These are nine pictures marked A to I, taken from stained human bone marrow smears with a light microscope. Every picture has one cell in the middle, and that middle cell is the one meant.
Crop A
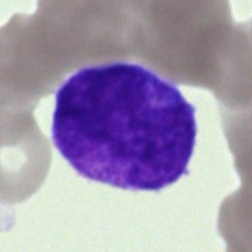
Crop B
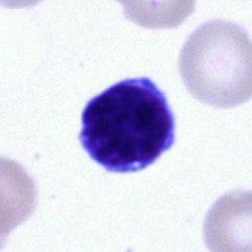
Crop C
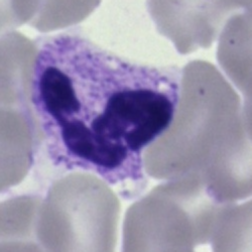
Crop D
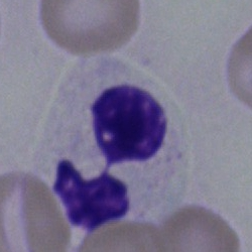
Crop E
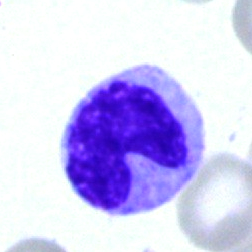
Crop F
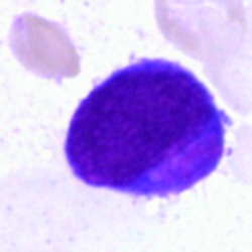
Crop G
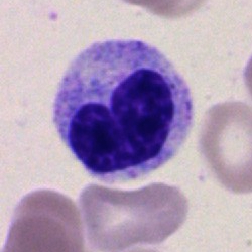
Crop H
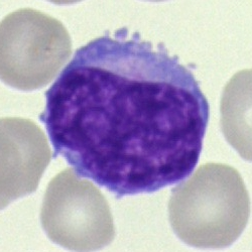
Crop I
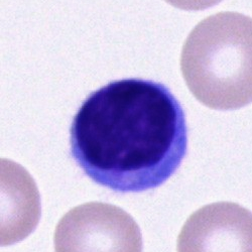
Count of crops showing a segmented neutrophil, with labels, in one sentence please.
Exactly two crops show segmented neutrophils, and these are C and D.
